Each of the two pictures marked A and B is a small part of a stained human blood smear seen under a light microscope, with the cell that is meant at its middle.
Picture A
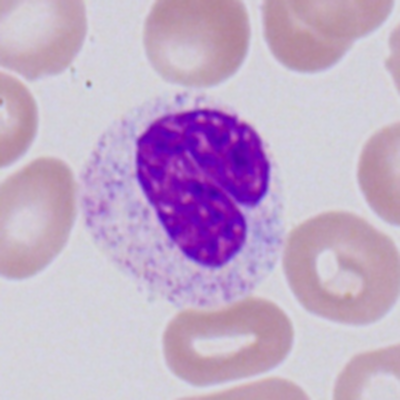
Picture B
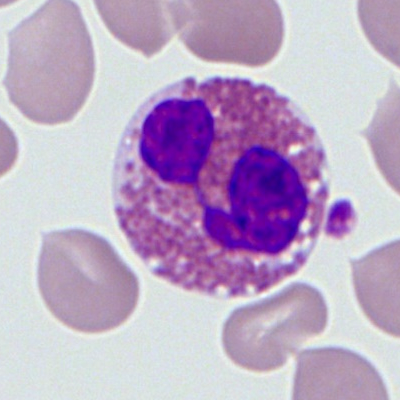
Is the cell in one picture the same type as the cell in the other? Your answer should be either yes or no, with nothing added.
no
